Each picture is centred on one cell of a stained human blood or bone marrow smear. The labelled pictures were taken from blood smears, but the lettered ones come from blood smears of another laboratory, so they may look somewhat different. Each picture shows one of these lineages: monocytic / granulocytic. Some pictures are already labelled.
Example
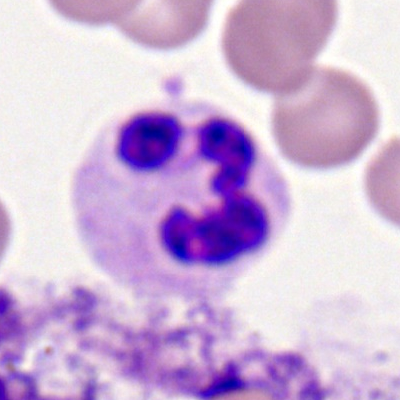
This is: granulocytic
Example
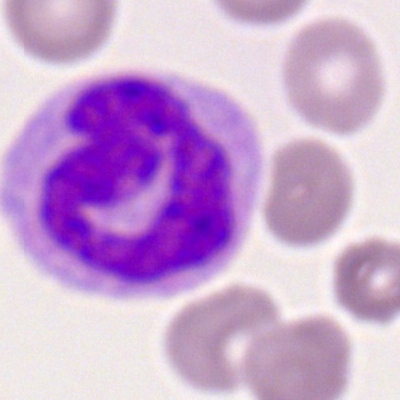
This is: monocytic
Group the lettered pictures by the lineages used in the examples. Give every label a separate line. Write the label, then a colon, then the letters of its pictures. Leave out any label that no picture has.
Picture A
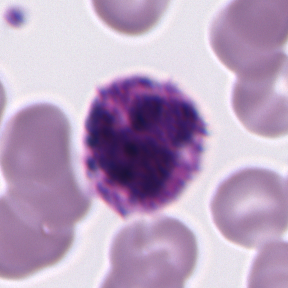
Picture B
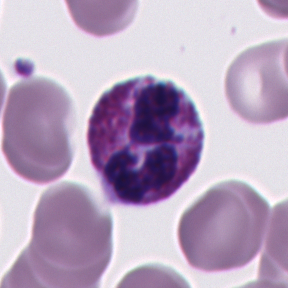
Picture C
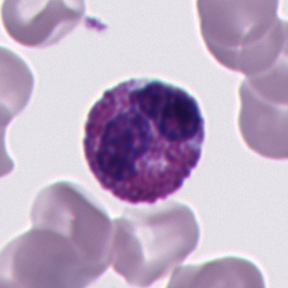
granulocytic: A, B, C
